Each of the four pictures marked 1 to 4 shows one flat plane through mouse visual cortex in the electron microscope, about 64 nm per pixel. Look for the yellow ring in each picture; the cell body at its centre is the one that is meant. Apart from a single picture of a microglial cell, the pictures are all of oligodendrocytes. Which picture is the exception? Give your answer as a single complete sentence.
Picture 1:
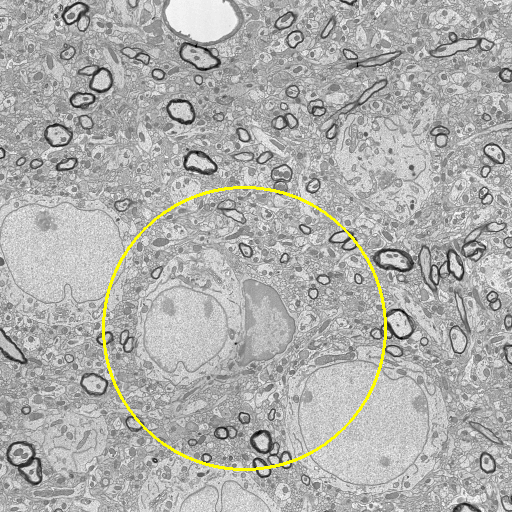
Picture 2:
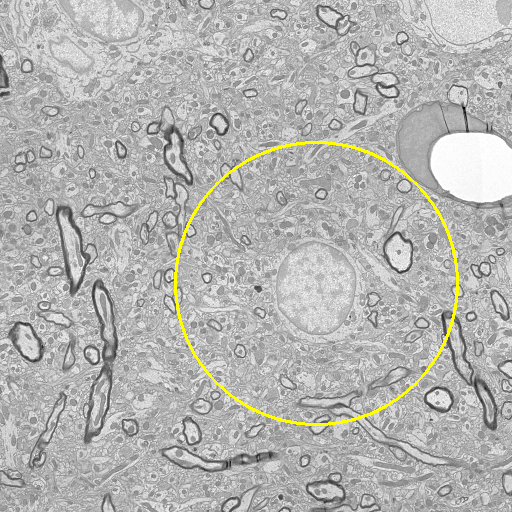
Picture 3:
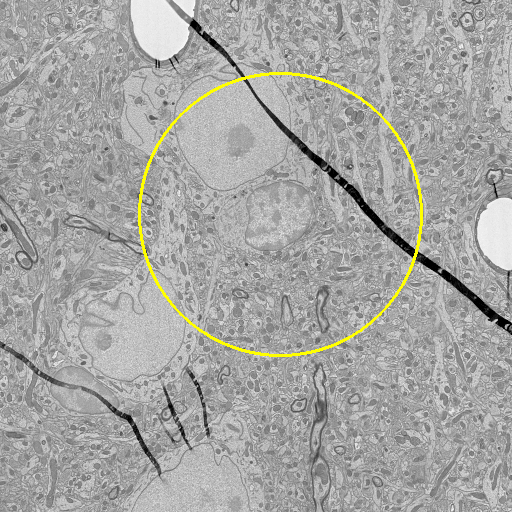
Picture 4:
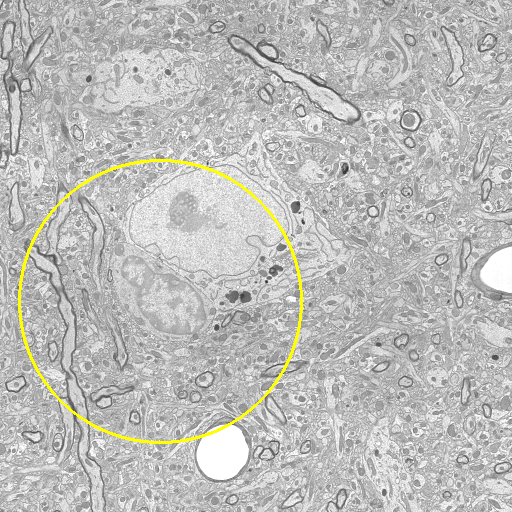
Picture 1 is the one that shows the microglial cell.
